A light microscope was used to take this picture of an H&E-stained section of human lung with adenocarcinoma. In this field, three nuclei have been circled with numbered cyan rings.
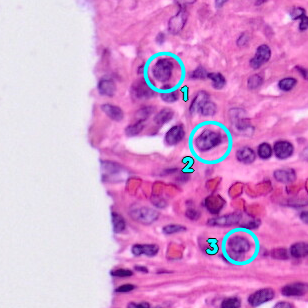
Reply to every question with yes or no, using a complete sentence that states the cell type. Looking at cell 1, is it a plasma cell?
Yes, in this section the cell numbered 1 is a plasma cell.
